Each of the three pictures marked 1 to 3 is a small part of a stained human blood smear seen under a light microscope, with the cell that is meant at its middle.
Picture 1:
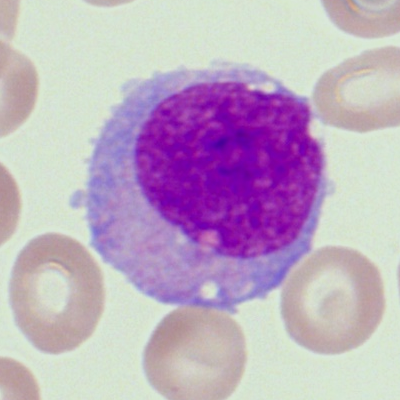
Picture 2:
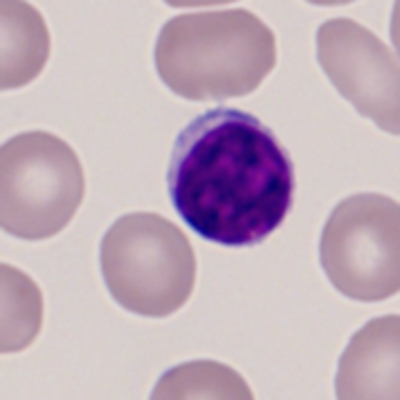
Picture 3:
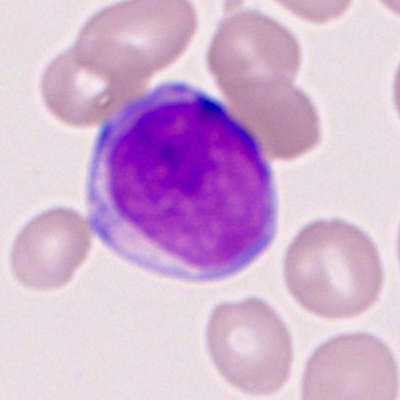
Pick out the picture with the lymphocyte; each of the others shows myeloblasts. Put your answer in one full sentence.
Picture 2 shows the lymphocyte.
